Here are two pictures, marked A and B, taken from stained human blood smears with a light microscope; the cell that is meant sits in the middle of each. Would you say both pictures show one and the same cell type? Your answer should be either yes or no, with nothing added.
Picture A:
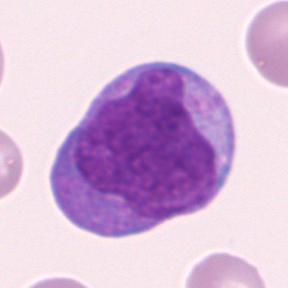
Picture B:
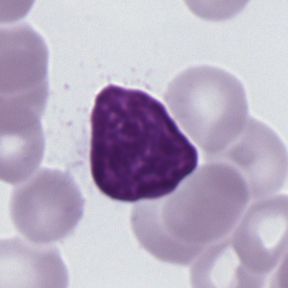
no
